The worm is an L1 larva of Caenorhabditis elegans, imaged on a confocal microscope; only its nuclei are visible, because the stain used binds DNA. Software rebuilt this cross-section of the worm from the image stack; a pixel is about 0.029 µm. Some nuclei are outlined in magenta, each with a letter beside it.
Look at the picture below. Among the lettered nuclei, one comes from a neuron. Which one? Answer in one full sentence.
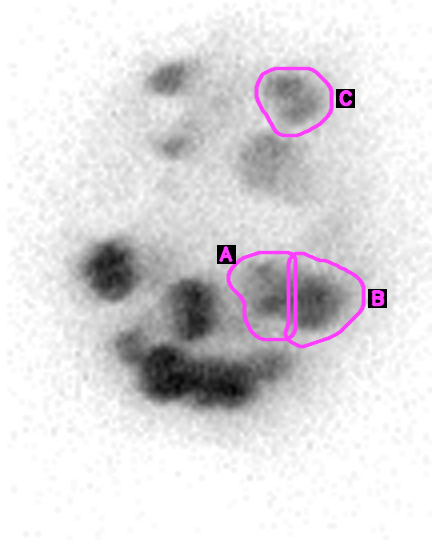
It is B that belongs to a neuron.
